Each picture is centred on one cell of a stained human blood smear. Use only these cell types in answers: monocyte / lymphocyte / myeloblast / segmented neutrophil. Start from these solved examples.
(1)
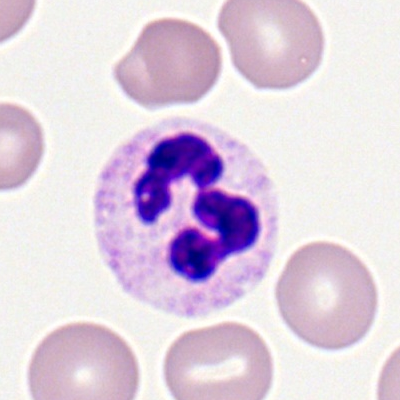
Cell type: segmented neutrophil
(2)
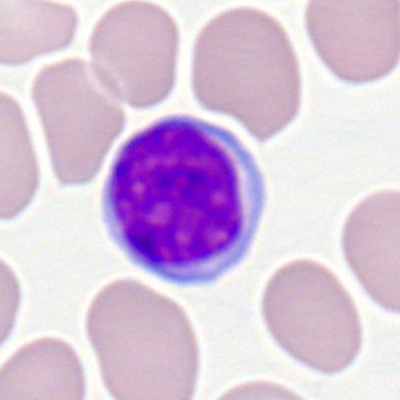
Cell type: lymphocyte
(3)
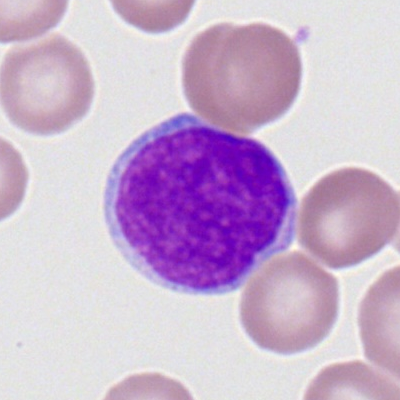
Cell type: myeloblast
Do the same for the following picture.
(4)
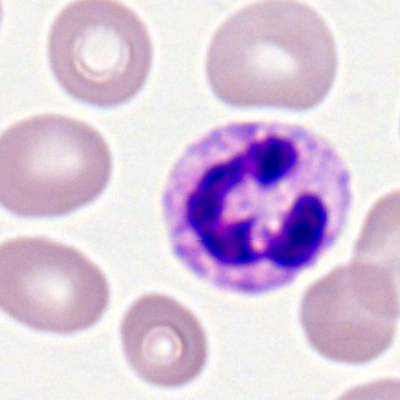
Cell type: segmented neutrophil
